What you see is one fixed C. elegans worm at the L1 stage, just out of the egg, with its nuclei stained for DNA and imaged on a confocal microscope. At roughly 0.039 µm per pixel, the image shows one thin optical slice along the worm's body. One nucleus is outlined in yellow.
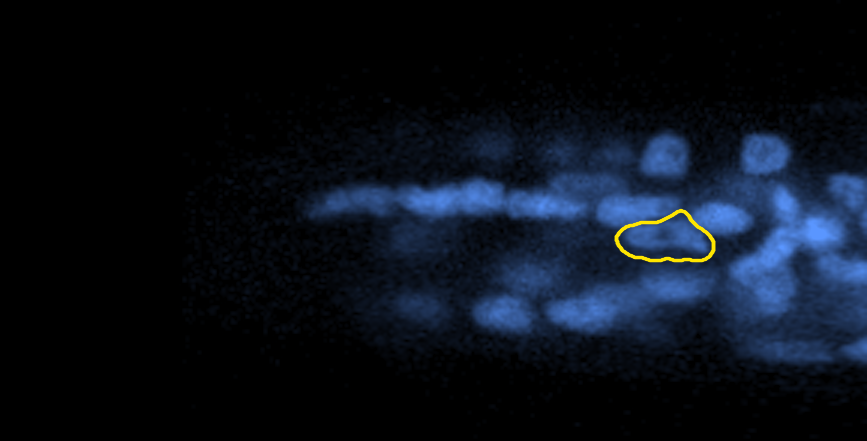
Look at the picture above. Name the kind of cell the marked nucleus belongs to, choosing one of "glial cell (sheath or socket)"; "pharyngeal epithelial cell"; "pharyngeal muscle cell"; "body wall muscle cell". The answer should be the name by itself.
pharyngeal muscle cell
